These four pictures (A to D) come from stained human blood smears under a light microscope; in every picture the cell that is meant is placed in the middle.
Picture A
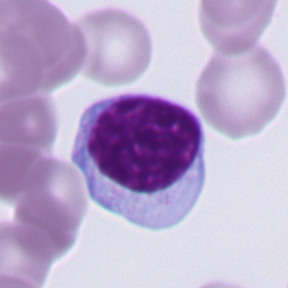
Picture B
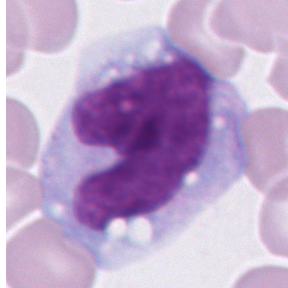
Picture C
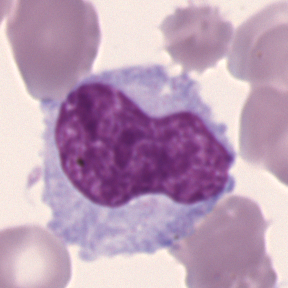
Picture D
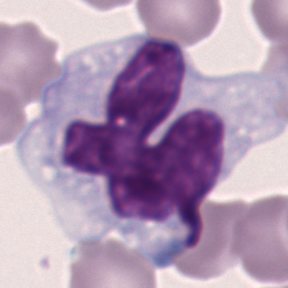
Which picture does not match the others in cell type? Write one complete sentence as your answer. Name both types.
All pictures except A show monocytes; picture A shows a large granular lymphocyte.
